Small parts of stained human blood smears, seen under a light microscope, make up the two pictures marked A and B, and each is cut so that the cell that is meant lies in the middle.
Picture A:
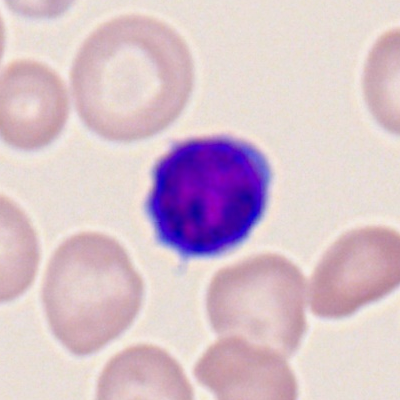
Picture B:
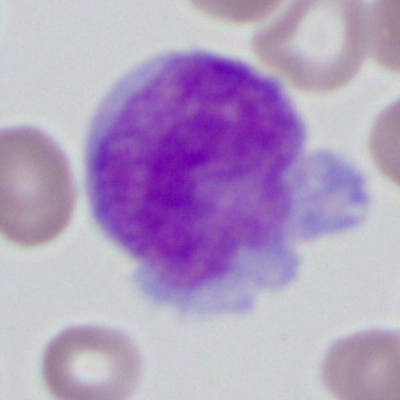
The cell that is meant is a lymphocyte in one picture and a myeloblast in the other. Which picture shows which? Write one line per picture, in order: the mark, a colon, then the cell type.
A: lymphocyte
B: myeloblast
